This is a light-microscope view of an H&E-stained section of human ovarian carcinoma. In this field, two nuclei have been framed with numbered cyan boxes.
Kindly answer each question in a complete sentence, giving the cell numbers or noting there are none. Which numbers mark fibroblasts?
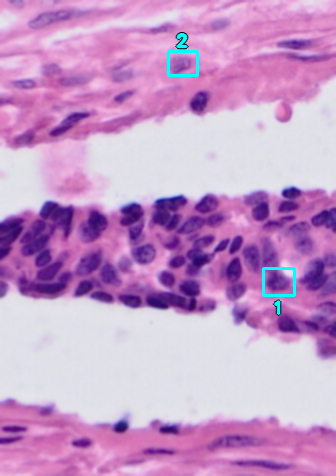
Among the numbered cells, the one that is a fibroblast is cell 2 alone.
